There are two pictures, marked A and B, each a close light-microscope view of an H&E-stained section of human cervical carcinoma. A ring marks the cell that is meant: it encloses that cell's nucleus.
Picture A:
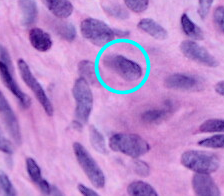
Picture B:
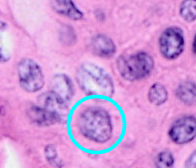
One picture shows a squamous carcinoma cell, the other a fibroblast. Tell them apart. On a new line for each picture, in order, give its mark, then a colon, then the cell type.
A: fibroblast
B: squamous carcinoma cell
